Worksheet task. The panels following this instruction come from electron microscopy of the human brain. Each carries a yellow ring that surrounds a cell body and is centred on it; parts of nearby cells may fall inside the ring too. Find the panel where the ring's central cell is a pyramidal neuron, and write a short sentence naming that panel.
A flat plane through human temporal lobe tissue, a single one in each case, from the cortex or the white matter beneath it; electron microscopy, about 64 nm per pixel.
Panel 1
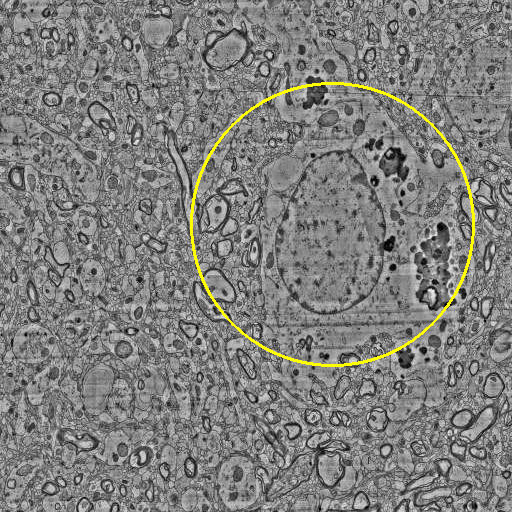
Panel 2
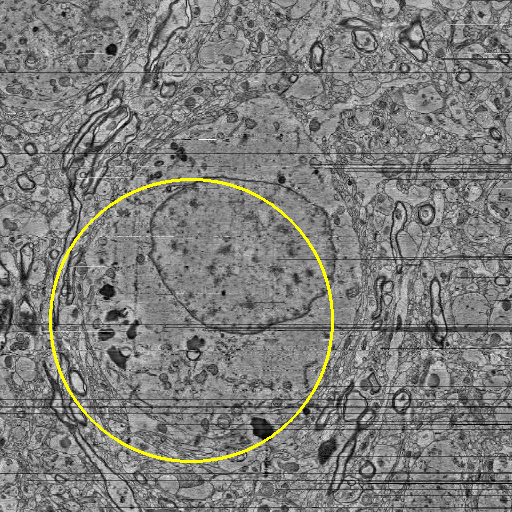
The cell sought is in Panel 2.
